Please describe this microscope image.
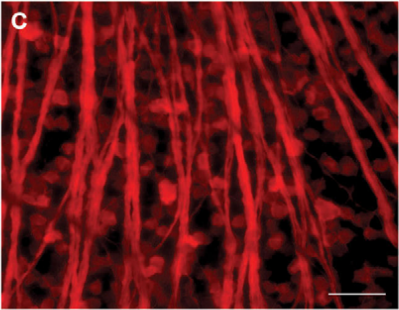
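In this flat-mounted retina, many thick, bright red axon bundles run roughly in parallel across the whole field. Between and beside the bundles lie rounded, filled red cell bodies of retinal ganglion cells, closely spaced.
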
